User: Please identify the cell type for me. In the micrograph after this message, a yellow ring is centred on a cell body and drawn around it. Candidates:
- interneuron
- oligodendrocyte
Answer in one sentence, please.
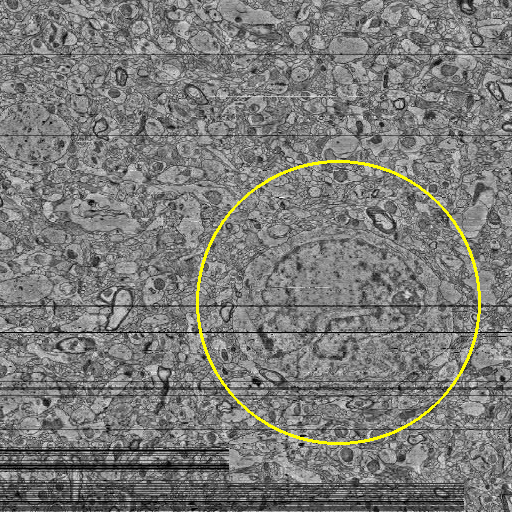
The ring is drawn around the cell body of an interneuron.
